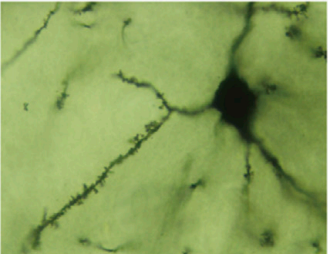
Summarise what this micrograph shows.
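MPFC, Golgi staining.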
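A black-impregnated nerve cell sits on a pale greenish background: a dense, dark cell body with several long, tapering dendrites radiating away from it, one running far toward the lower left. Along these dendrites small dark bumps give them a beaded, prickly outline.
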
